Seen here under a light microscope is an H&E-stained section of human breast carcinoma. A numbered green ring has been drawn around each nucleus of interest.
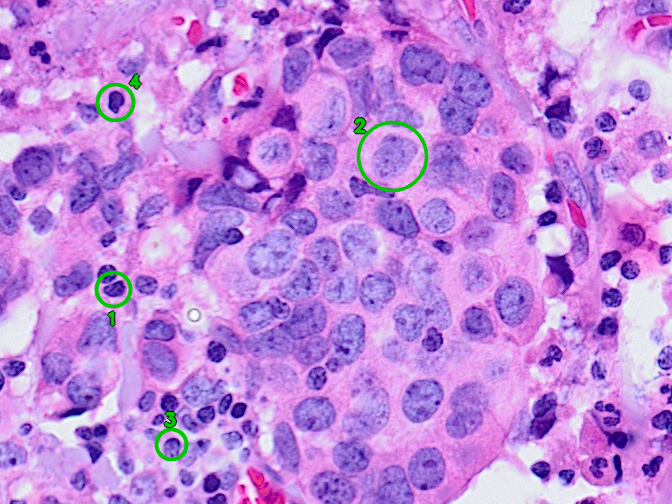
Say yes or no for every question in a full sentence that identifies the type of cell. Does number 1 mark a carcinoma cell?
No, the cell referred to as 1 is a lymphocyte, not a carcinoma cell.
